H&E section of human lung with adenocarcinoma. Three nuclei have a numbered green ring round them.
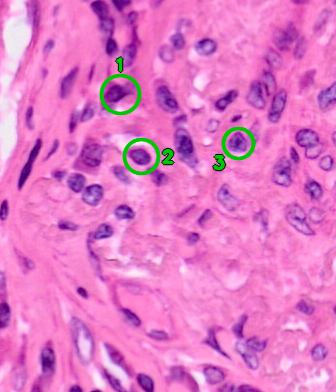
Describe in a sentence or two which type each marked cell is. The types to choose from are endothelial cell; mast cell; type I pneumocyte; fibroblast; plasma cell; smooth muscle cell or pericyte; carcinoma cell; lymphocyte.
Cell 1 is a plasma cell, cell 2 is a lymphocyte and cell 3 is a lymphocyte.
